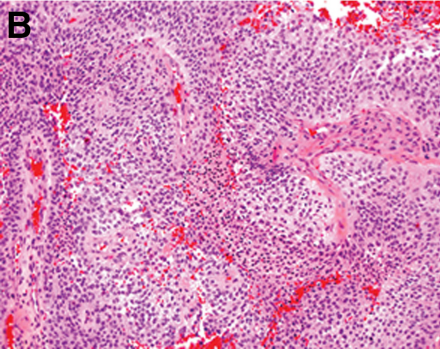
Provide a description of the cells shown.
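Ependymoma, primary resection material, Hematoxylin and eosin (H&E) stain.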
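A densely cellular tumor is made up of crowded cells with small, round to oval dark purple nuclei and scant pale pink cytoplasm. The cells form sheets arranged around blood vessels with thickened pink walls, and red blood cells fill spaces and channels between the cell sheets.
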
